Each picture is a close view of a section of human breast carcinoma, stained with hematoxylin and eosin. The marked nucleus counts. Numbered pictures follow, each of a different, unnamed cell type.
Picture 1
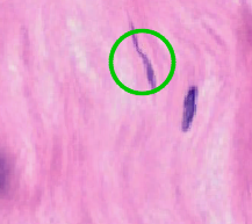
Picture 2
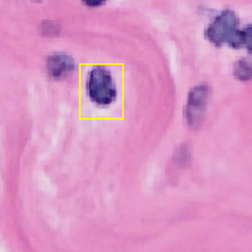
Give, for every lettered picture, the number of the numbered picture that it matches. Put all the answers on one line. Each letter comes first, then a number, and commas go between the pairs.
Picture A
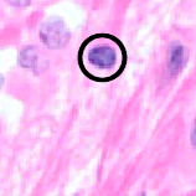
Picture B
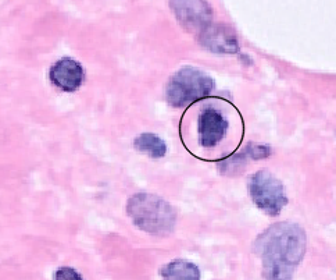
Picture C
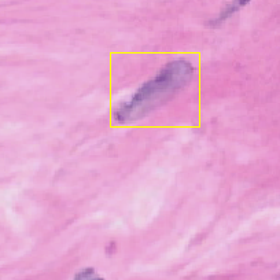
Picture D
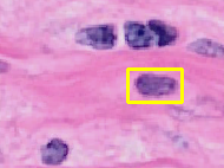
A 2, B 2, C 1, D 2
